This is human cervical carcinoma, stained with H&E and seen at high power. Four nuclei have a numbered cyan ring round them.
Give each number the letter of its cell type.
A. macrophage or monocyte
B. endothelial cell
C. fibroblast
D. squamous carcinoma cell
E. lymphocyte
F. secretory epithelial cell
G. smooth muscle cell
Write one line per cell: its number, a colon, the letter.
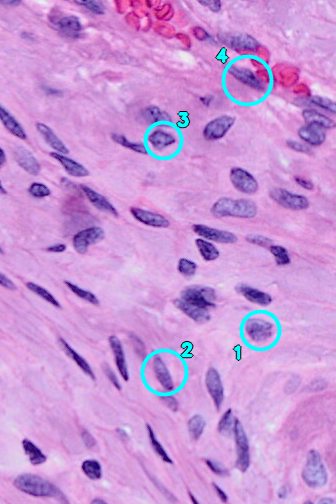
1: C
2: C
3: C
4: B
